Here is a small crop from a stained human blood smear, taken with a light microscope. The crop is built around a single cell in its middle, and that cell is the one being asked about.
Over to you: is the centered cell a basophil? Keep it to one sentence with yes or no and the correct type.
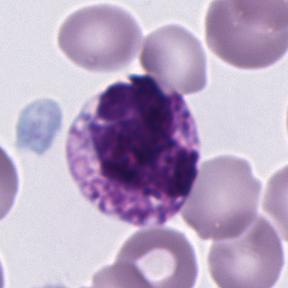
Yes, what sits in the centre of the crop is a basophil.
